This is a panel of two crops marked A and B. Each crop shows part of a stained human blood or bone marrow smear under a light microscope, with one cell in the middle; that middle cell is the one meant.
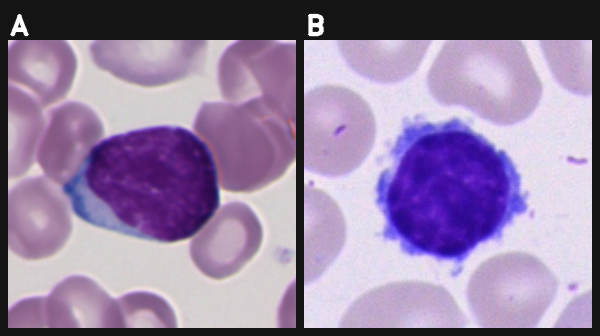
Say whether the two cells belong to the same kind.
no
